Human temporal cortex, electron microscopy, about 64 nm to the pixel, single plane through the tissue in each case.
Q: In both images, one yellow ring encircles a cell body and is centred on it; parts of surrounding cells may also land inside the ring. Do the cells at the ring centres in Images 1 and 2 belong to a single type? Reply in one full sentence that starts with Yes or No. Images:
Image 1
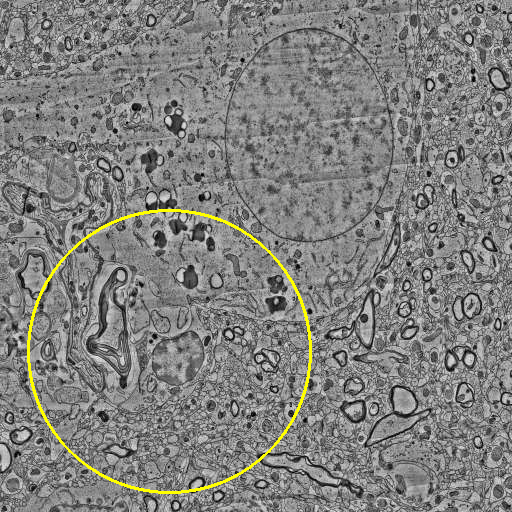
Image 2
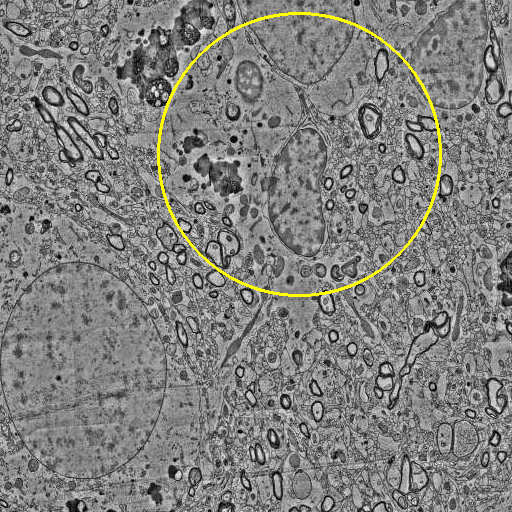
Yes, the cells at the ring centres in Images 1 and 2 are of a single type.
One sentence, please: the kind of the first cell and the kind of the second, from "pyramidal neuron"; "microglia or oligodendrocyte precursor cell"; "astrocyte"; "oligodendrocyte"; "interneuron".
The cell at the ring centre is a microglial cell or oligodendrocyte precursor cell in both pictures.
